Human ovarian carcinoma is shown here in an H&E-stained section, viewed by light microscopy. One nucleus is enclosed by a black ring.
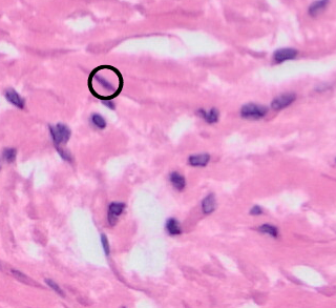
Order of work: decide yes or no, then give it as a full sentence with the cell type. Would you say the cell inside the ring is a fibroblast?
Yes, the cell inside the ring is a fibroblast by cell type.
